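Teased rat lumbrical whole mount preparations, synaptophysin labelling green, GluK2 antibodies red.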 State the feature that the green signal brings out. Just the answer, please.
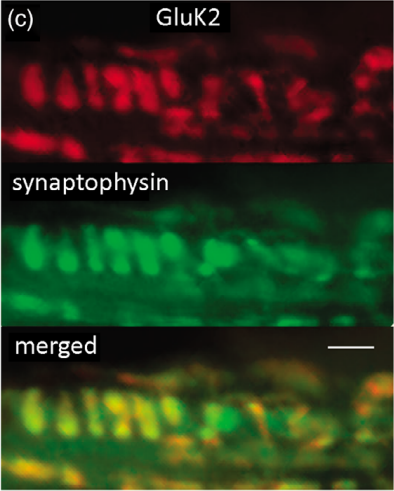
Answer: spindle sensory terminals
